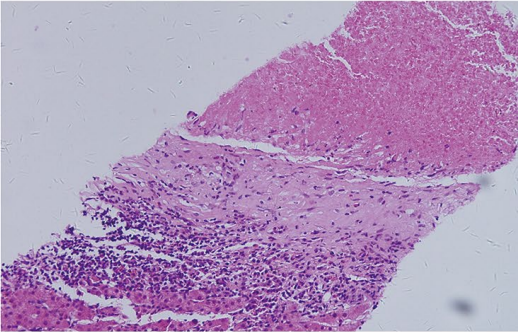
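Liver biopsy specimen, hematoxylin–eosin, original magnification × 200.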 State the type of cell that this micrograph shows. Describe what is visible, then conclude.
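The other end of the core is crowded with small, dark purple round nuclei. These small cells lie scattered among pink fibrous strands. So: inflammatory cells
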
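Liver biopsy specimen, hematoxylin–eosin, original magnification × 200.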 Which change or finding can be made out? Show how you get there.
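Coagulation necrosis. One end of the core is a pale pink, granular area with almost no nuclei.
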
